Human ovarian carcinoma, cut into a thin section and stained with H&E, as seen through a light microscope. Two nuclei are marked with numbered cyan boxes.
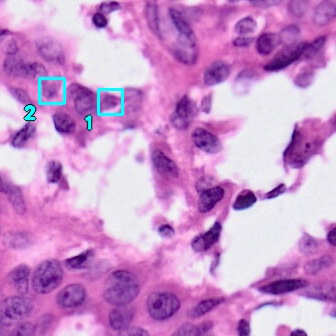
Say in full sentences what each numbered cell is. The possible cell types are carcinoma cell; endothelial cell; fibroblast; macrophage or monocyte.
Cell 1 is a carcinoma cell and cell 2 is a macrophage or monocyte.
